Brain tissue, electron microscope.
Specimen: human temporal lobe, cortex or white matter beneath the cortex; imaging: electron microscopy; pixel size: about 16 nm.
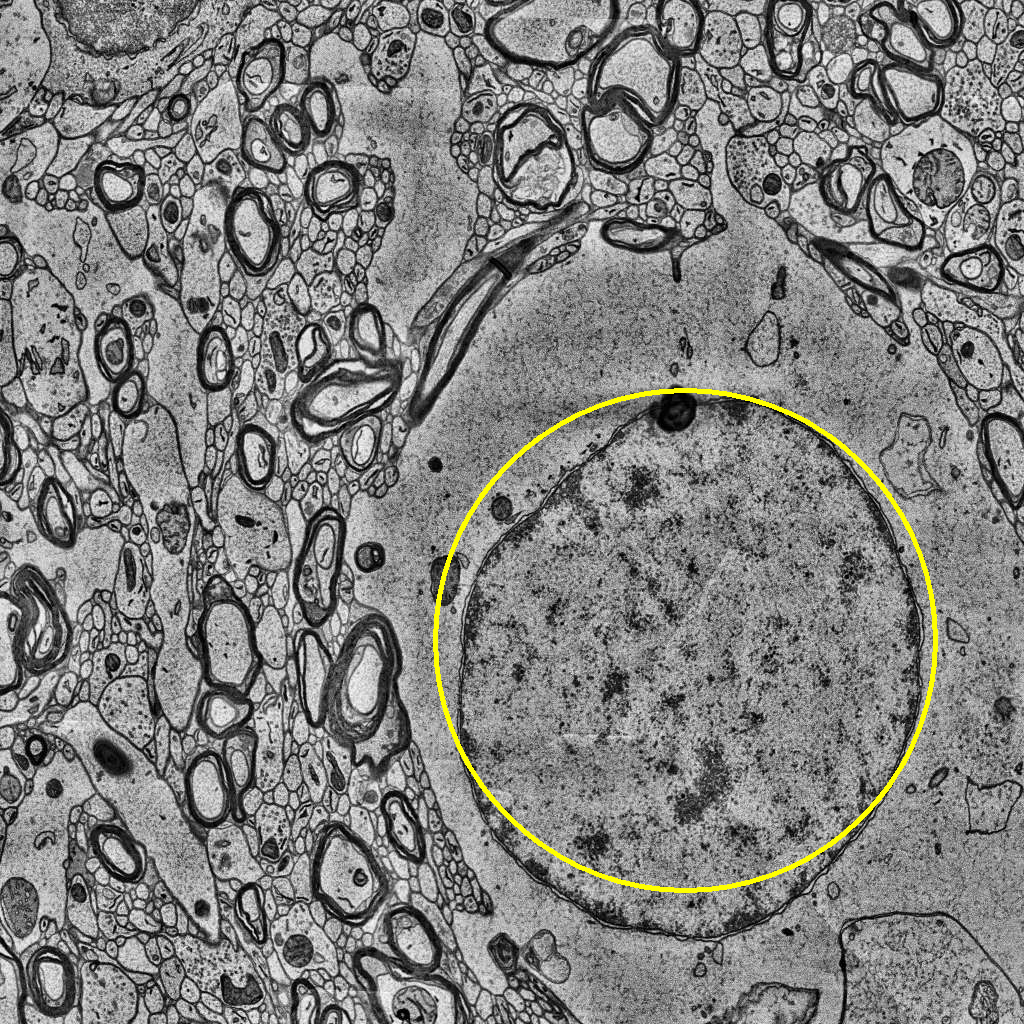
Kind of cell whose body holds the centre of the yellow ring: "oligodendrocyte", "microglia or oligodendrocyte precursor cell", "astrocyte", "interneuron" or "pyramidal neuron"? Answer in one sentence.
The ring's centre falls on an astrocyte.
